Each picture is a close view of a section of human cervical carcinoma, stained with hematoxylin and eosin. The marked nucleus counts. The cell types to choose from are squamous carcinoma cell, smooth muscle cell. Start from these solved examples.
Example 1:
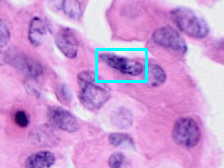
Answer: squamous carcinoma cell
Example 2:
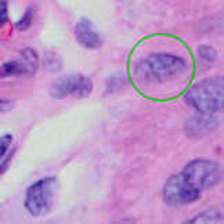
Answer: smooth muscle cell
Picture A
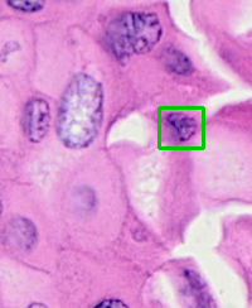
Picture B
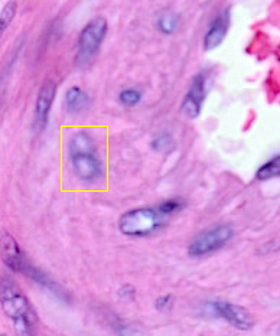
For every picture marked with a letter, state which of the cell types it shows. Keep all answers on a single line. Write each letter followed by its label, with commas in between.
A squamous carcinoma cell, B smooth muscle cell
